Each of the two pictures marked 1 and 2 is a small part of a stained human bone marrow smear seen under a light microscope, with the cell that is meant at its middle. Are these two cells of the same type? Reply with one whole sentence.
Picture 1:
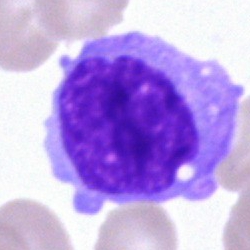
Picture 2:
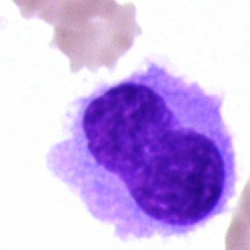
No. Picture 1 shows a monocyte, but picture 2 shows a hairy cell.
